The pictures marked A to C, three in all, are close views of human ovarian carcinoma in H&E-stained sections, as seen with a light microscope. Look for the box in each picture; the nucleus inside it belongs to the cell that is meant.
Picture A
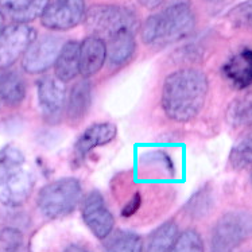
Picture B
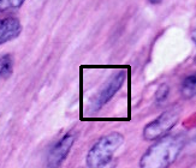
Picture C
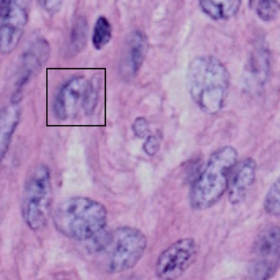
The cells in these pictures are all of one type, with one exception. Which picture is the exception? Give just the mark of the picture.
A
